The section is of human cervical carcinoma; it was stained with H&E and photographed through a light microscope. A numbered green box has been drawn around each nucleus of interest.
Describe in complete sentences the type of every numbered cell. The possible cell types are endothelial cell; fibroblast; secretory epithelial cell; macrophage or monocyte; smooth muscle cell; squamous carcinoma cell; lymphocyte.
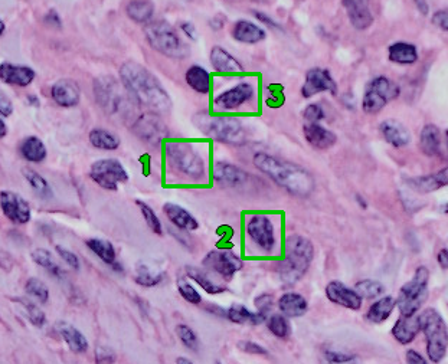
Cell 1 is an endothelial cell, cell 2 is a lymphocyte and cell 3 is a lymphocyte.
